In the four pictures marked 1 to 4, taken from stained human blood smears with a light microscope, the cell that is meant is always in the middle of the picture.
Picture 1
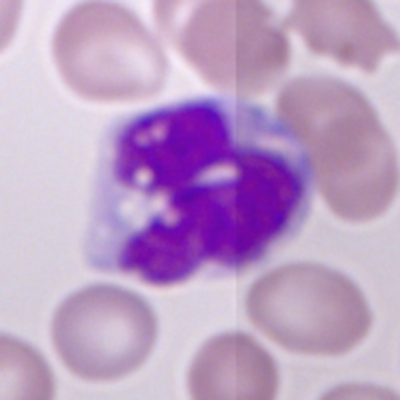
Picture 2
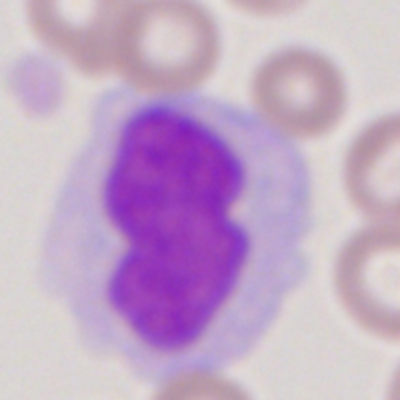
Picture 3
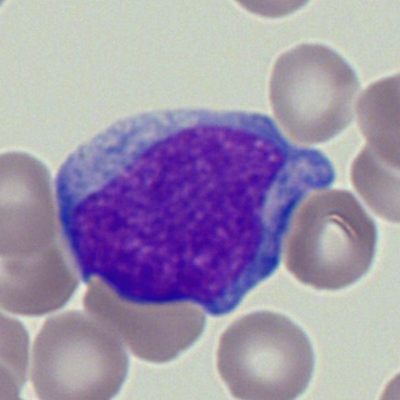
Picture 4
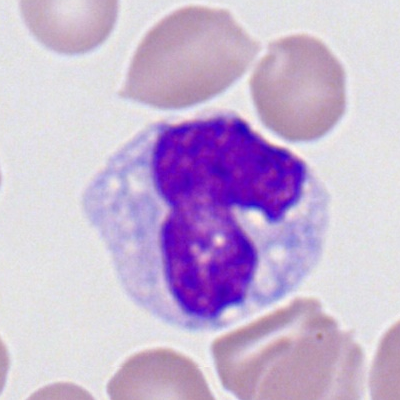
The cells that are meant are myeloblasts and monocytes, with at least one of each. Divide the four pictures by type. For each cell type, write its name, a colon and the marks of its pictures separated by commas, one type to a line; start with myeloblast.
myeloblast: 3
monocyte: 1, 2, 4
